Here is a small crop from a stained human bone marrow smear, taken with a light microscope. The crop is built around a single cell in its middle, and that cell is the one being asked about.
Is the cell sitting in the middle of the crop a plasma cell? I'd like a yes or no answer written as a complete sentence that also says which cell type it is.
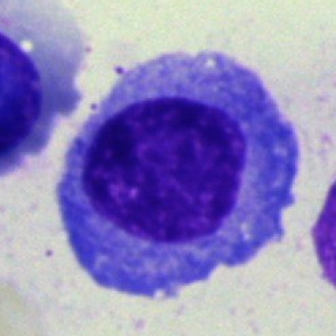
Yes, the cell that occupies the centre is a plasma cell.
